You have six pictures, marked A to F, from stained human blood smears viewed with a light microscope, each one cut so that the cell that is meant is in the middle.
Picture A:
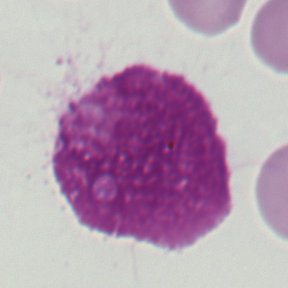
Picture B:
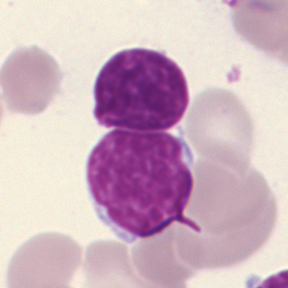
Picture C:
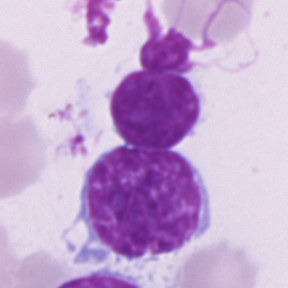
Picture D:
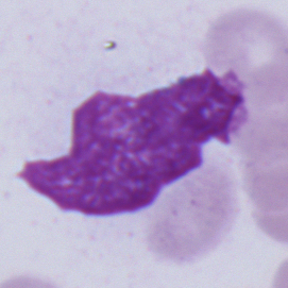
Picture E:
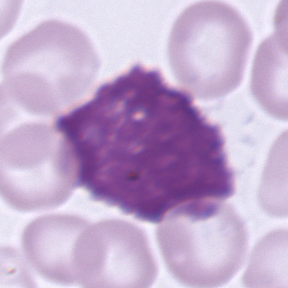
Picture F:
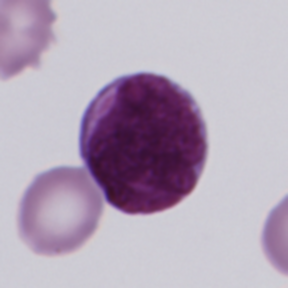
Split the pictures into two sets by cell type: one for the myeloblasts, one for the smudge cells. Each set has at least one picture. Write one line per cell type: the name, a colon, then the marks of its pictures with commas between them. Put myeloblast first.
myeloblast: B, C, F
smudge cell: A, D, E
